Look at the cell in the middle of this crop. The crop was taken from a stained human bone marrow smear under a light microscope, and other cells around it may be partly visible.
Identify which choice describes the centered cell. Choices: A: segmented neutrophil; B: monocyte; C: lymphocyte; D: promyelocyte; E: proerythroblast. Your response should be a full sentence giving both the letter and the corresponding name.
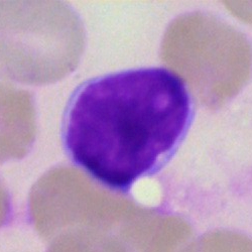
That the central cell is a lymphocyte makes option C correct.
